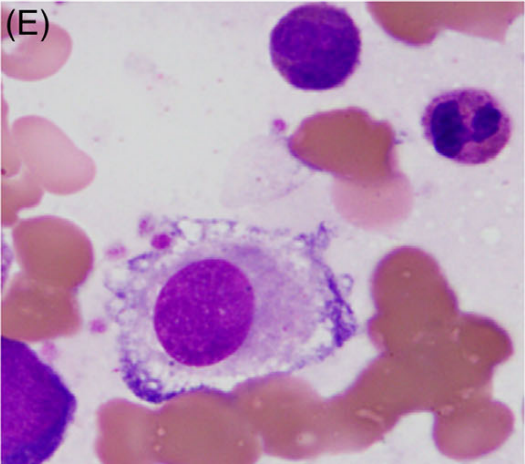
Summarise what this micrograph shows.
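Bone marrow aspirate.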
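A very large cell with a round-oval nucleus of fine chromatin lies among red blood cells, with a neutrophil and a smaller dark cell nearby. The cell dwarfs its neighbours. This is a crystal-storing histiocyte.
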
